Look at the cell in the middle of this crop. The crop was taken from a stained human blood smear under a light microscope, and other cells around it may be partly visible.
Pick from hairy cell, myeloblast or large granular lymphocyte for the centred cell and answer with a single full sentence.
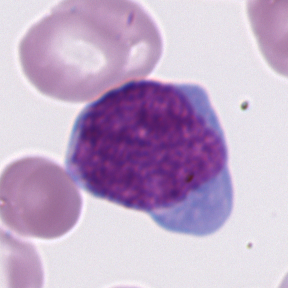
The cell at the middle of the crop is recognized as a myeloblast.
